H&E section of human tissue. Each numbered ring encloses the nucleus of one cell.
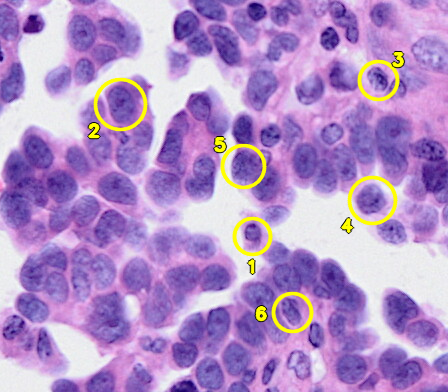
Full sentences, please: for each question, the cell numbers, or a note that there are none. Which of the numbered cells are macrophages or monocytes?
The cells marked by the numbers 1, 4 and 6 are macrophages or monocytes.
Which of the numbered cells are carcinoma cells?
Within the section, cells numbered 2 and 5 are carcinoma cells.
